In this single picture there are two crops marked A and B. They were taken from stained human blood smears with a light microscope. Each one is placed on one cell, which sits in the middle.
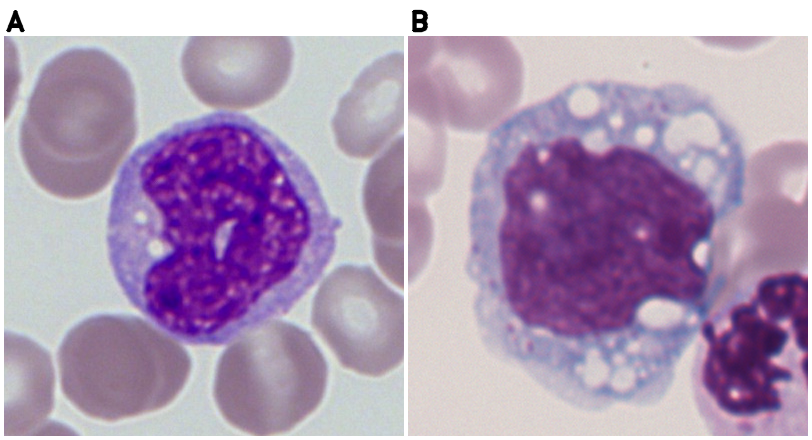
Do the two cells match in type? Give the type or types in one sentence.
Yes, in the case of both crops, the central cells are monocytes.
